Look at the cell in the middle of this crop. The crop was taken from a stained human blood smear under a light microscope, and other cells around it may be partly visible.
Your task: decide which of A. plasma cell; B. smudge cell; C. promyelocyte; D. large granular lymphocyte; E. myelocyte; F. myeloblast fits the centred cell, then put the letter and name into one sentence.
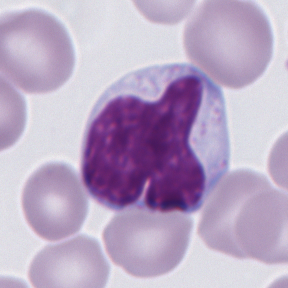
The cell shown centrally is a large granular lymphocyte; option D is the correct option.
